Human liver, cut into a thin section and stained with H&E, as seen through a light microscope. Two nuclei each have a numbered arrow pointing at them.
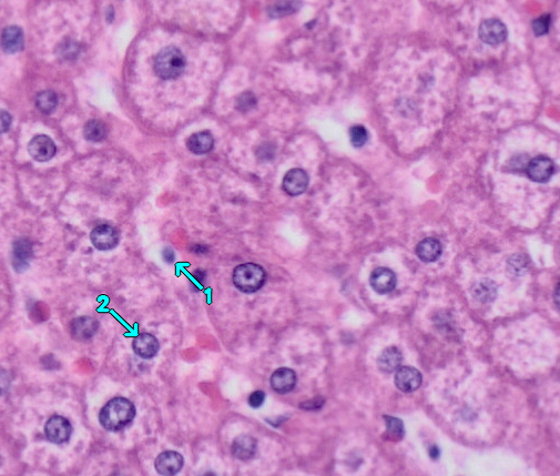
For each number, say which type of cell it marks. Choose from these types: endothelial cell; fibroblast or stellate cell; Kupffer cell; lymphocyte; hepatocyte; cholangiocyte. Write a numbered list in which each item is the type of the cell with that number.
1. lymphocyte
2. hepatocyte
